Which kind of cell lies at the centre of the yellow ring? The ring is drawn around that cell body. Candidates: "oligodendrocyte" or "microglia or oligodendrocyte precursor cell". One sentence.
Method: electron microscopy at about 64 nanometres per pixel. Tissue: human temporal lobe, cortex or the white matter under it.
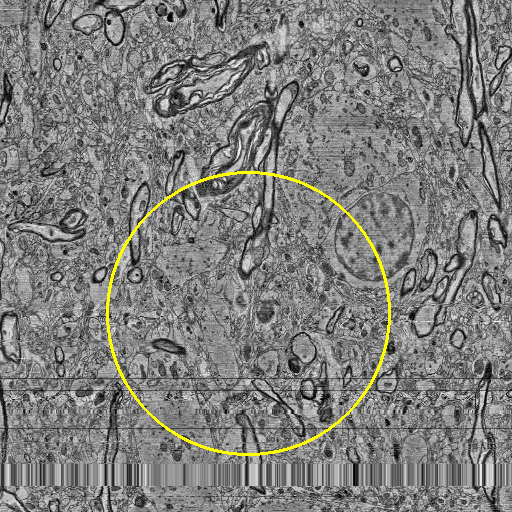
Lying at the centre of the ring is a microglial cell or oligodendrocyte precursor cell.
